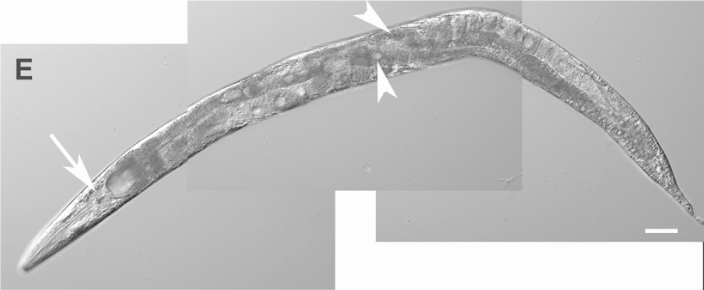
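A whole adult nematode is seen in differential interference contrast, with a tapered head at the lower left and a thin pointed tail at the right. Near the head a rounded muscular bulb of the pharynx stands out, and along the middle of the body run the intestinal cells with large round nuclei, two of which are marked. Behind and around the midbody lie oval embryos in a row inside the body. The body wall is smooth and the overall form of the animal looks normal.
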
